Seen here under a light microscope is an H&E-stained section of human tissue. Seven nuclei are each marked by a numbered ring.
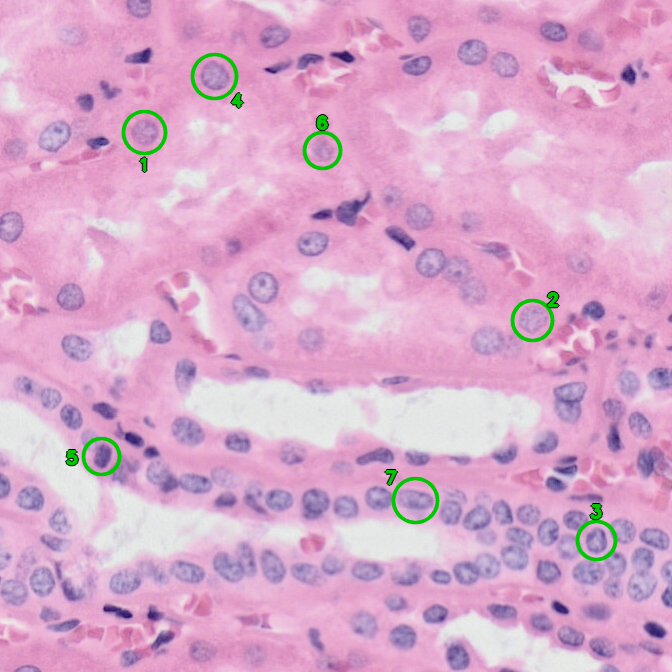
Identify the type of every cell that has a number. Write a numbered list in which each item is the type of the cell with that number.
1. proximal tubule cell
2. proximal tubule cell
3. collecting duct cell
4. proximal tubule cell
5. collecting duct cell
6. proximal tubule cell
7. collecting duct cell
